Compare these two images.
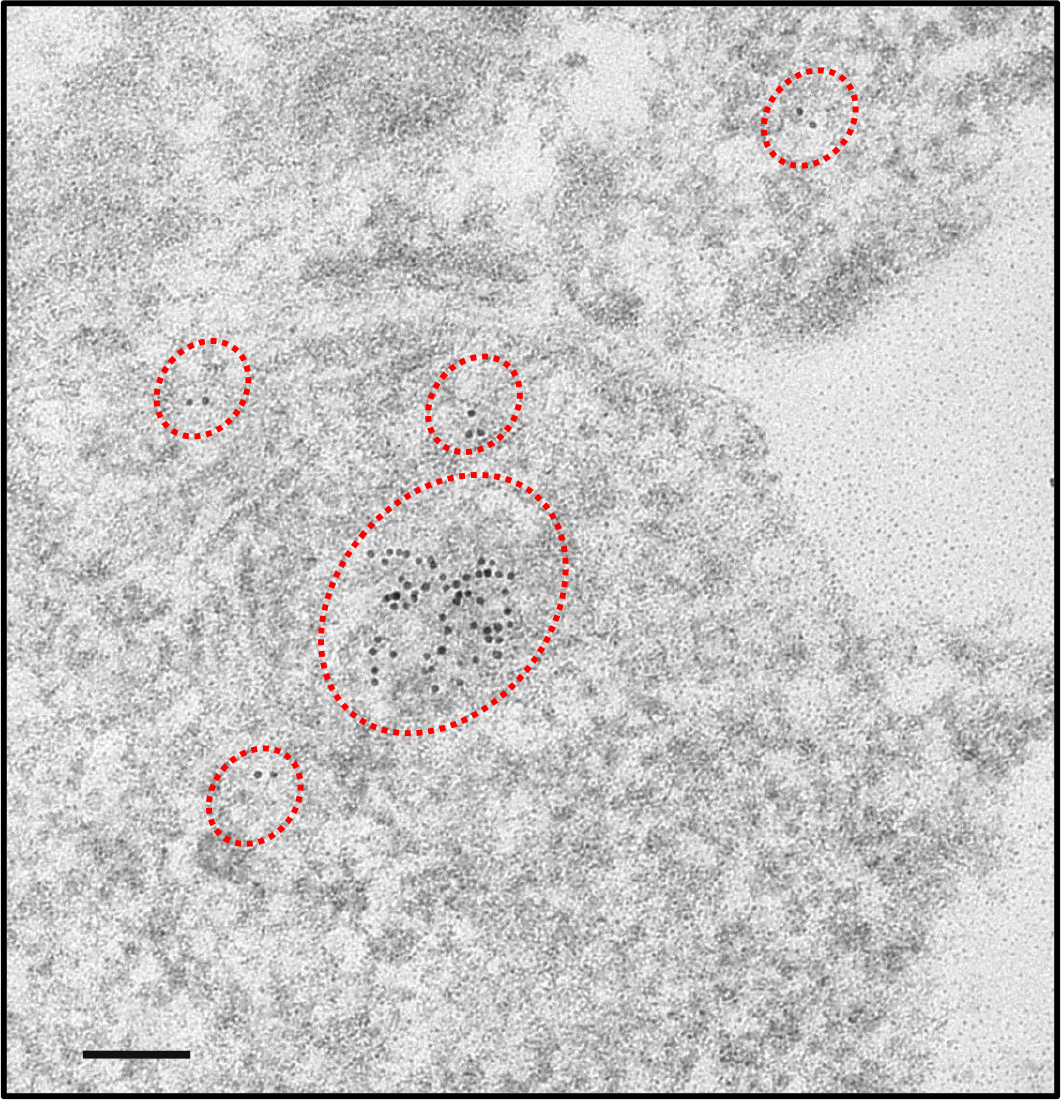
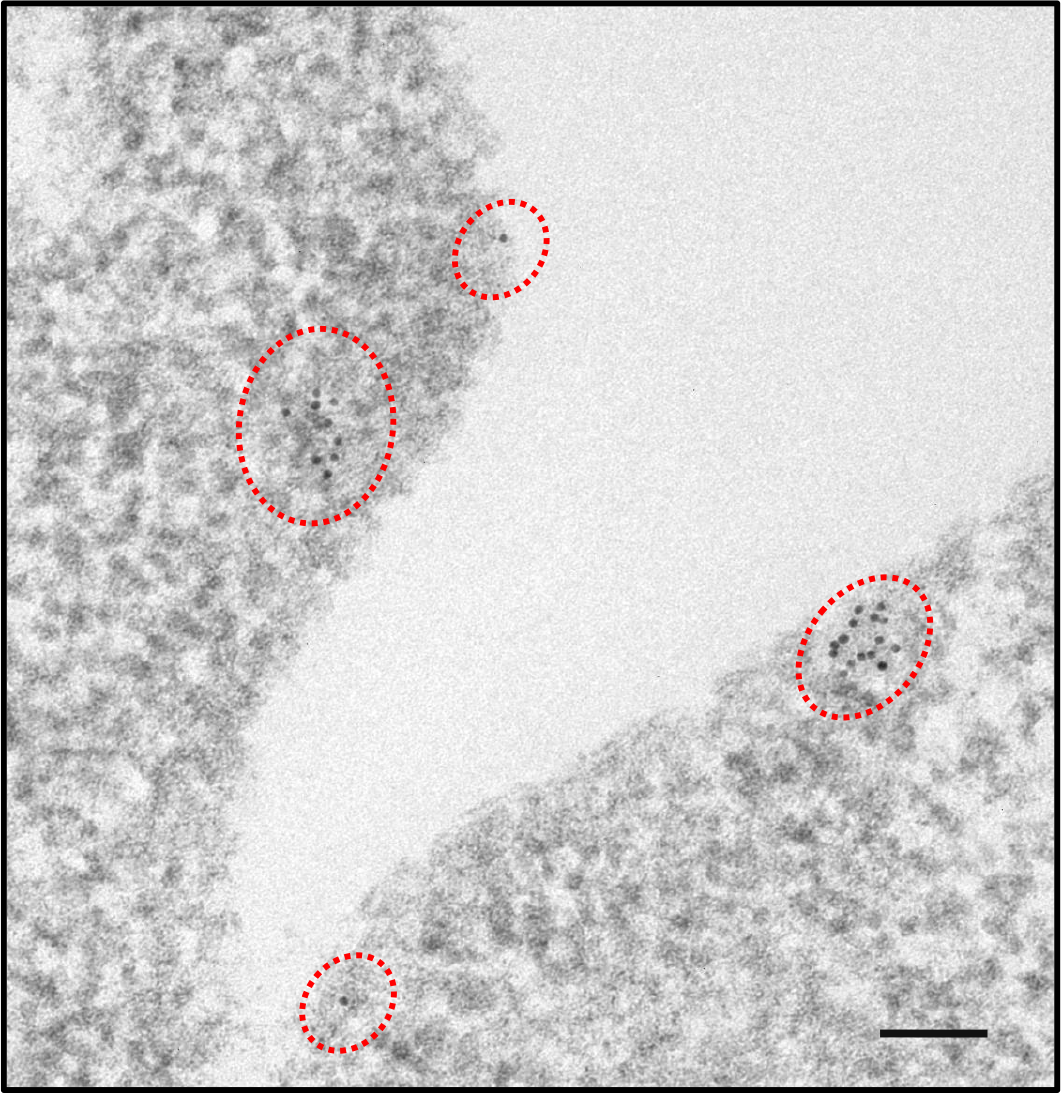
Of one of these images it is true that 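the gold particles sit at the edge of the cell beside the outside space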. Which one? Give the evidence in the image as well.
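Second image: circled gold particle clusters lie close to the cell border facing a pale empty space. First image: the largest gold particle cluster lies deep in the cytoplasm, far from any cell edge.
Hence: the second image.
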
